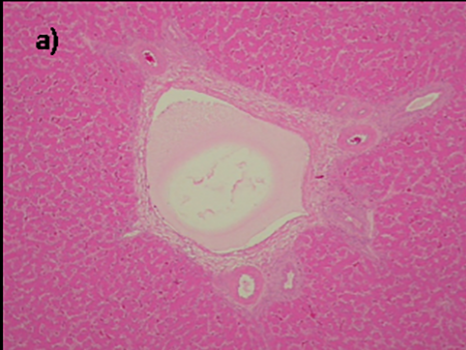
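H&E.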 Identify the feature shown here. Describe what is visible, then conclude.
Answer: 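A large thin-walled vessel lies in the centre, surrounded by a collar of pale connective tissue. Smaller round ducts and vessels sit in the connective tissue around it. Cords of pink hepatocytes surround the connective tissue. The answer: portal vein.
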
